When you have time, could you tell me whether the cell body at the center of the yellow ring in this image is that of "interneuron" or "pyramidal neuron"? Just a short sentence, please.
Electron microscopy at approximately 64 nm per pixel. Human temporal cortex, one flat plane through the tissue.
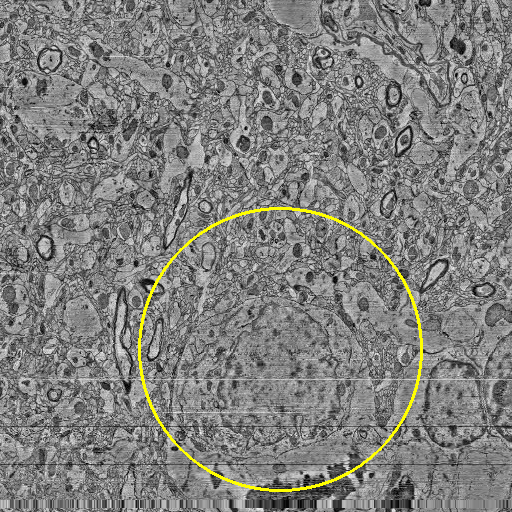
The cell body at the center of the ring is that of an interneuron.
